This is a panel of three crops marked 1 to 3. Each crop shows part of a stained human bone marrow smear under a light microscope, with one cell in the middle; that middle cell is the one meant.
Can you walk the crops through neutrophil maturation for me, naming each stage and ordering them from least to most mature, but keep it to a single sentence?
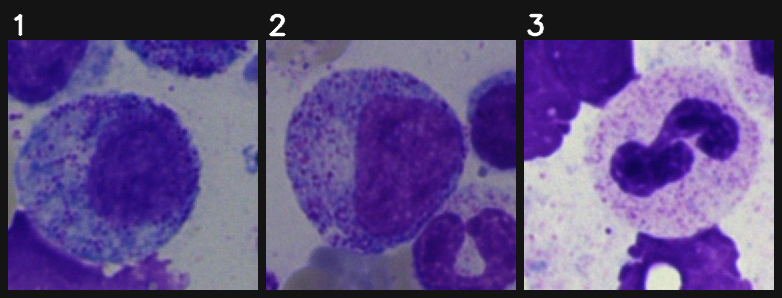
From the earliest stage onward, the order is crop 2 (a promyelocyte), crop 1 (a myelocyte) and crop 3 (a segmented neutrophil).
